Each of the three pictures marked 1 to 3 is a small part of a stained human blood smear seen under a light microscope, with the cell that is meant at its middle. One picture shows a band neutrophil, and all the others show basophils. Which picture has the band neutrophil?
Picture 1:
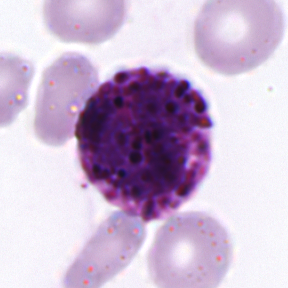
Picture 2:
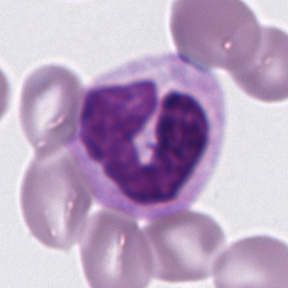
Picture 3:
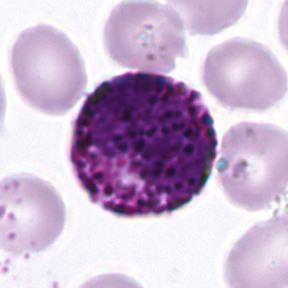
2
